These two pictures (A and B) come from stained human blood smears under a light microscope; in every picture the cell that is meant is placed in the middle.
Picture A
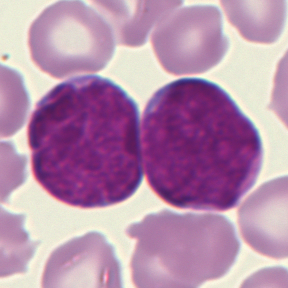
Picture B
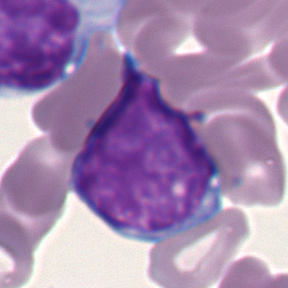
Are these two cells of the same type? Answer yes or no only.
yes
